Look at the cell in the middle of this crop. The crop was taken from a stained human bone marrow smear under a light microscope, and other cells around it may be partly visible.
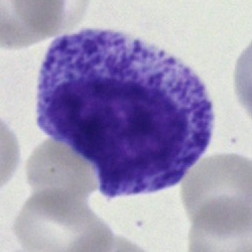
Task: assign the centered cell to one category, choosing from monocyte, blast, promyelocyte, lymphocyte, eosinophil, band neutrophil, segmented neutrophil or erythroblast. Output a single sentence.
The centered cell in this crop is a promyelocyte.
